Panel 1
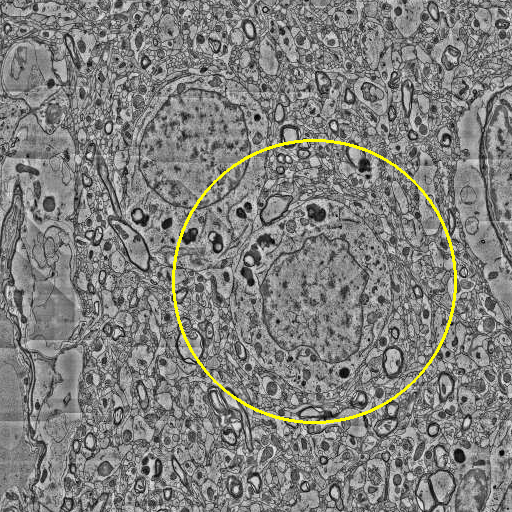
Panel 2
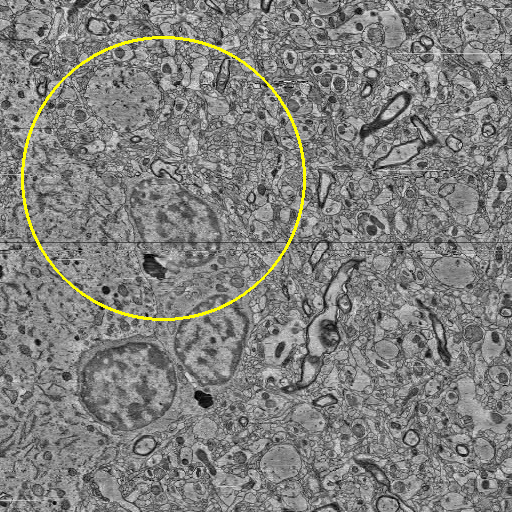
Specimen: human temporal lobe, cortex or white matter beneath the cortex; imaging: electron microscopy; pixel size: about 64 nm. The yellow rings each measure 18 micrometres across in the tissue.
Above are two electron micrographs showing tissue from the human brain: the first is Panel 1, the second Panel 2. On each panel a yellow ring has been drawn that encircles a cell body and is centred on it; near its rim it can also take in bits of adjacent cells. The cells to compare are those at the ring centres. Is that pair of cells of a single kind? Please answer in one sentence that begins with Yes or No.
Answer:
No, the ring-centred cells of Panel 1 and Panel 2 belong to two kinds.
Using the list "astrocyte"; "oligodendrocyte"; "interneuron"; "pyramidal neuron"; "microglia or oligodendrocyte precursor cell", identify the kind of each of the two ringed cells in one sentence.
The first is a pyramidal neuron and the second is an oligodendrocyte.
